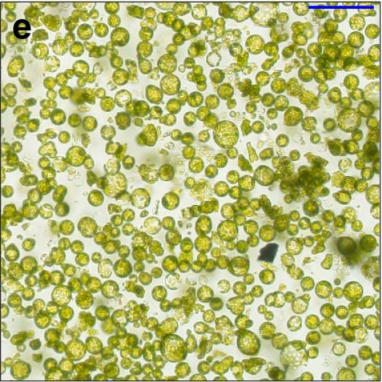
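These are isolated leaf protoplasts lying densely packed and free of one another in suspension. Each is a spherical cell without an angular wall outline, and the cells vary considerably in diameter. Their interiors are filled with many small green granules, the chloroplasts. A few darker clumps of aggregated material and debris lie among the round cells.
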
